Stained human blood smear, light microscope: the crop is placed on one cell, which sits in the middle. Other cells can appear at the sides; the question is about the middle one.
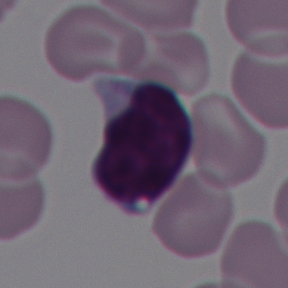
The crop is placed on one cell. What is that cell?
typical lymphocyte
